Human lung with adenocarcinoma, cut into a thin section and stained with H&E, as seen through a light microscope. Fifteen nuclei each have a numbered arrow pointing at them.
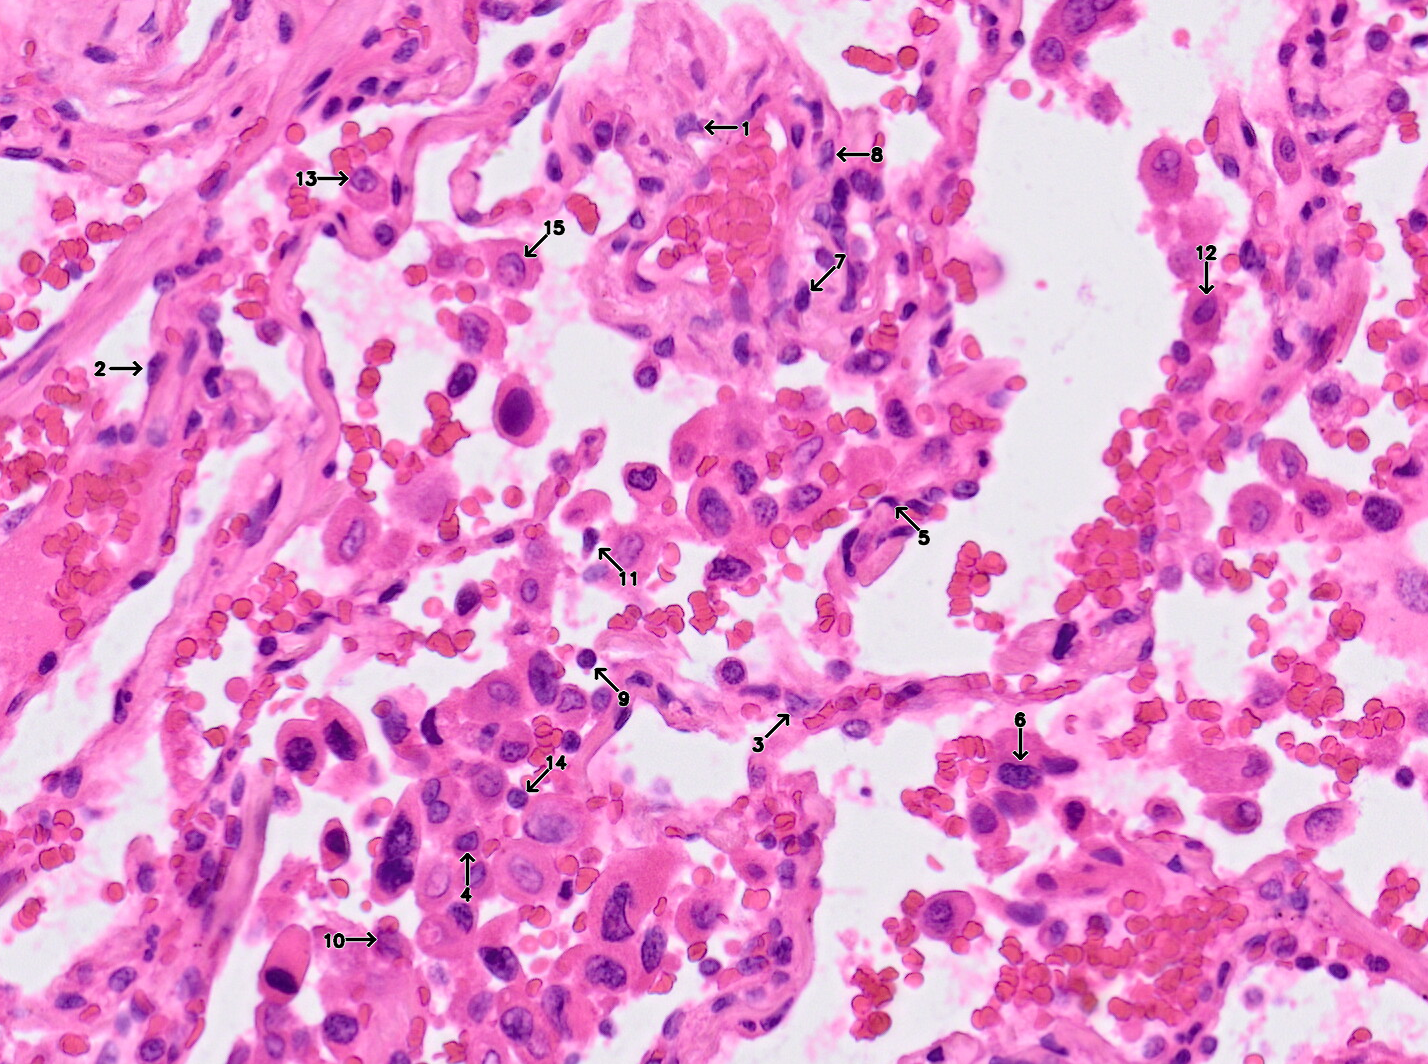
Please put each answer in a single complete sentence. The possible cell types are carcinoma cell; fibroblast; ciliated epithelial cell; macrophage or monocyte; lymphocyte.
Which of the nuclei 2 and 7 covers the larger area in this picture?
Nucleus 2 is the larger one, covering about 1.5 times the area of nucleus 7.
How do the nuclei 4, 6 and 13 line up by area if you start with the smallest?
The order from the smallest nucleus to the largest is 4, 13, 6.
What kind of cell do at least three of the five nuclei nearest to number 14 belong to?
The majority of the five nuclei closest to number 14 belong to macrophages or monocytes.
